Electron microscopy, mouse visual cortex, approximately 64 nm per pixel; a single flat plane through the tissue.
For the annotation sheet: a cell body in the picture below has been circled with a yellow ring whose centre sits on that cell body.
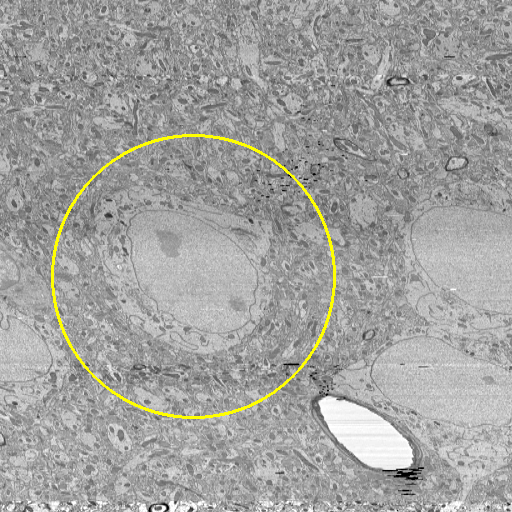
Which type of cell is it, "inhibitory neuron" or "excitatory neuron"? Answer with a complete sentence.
The circled cell is an excitatory neuron.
